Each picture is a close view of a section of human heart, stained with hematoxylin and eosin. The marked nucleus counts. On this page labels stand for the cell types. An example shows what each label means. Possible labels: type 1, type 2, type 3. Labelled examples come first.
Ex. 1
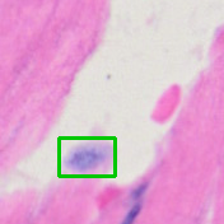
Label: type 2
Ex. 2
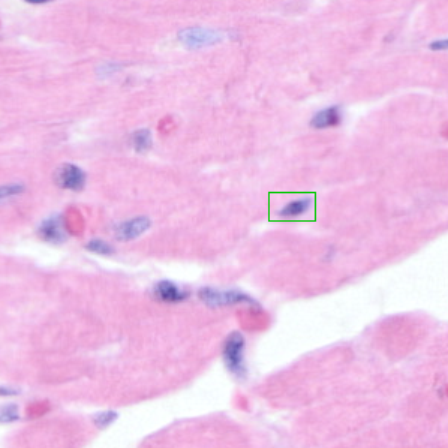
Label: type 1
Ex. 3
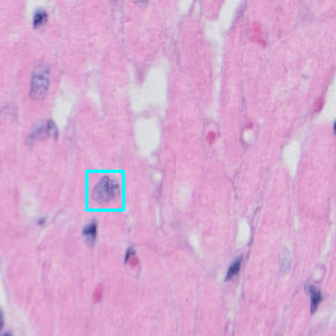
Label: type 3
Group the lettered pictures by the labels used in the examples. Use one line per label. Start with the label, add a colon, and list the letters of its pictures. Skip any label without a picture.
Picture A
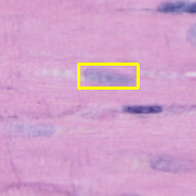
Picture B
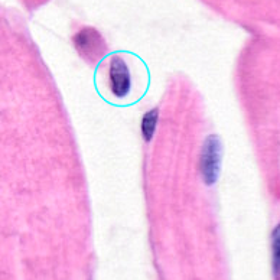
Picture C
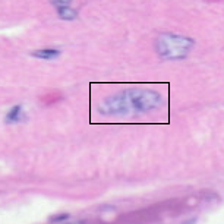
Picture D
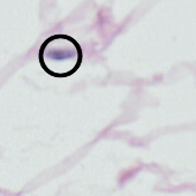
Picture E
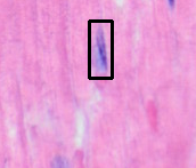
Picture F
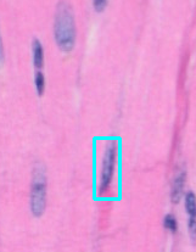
type 1: E, F
type 2: B, D
type 3: A, C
